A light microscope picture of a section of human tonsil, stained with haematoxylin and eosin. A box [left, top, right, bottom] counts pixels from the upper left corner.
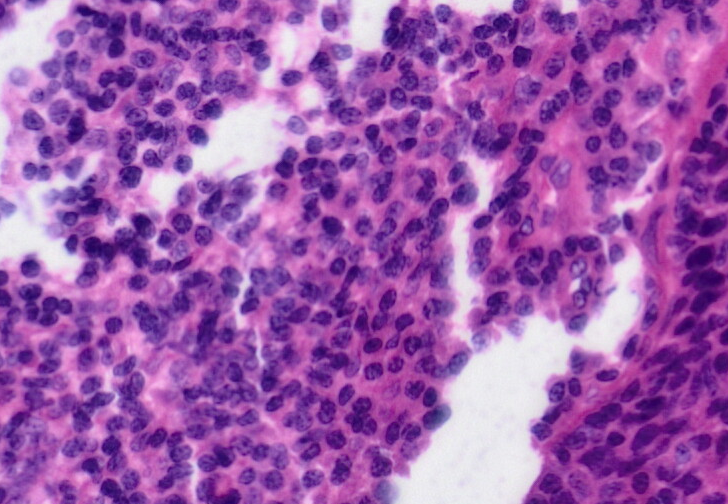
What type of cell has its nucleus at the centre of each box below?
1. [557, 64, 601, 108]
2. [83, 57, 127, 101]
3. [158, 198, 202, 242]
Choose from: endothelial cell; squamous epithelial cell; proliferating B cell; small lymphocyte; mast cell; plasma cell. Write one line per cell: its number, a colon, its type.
1: plasma cell
2: small lymphocyte
3: plasma cell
